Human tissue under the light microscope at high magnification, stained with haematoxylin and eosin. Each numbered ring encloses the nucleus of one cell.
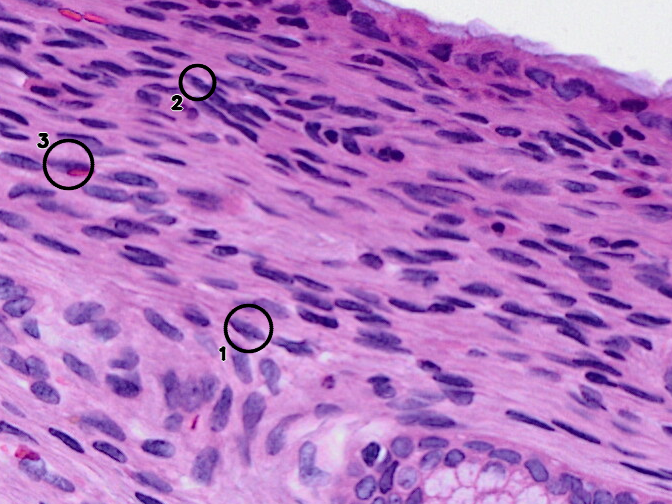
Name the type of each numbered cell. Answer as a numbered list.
1. fibroblast
2. fibroblast
3. endothelial cell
